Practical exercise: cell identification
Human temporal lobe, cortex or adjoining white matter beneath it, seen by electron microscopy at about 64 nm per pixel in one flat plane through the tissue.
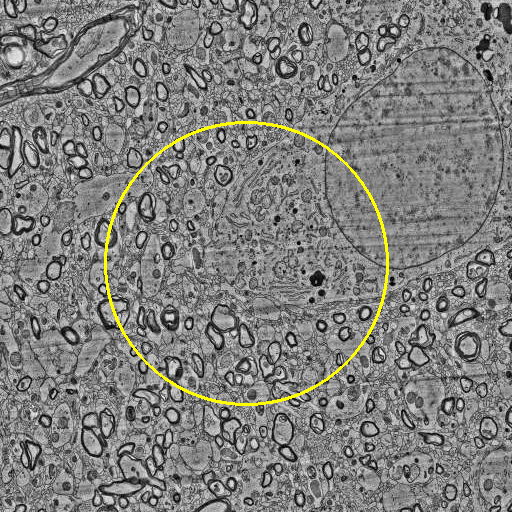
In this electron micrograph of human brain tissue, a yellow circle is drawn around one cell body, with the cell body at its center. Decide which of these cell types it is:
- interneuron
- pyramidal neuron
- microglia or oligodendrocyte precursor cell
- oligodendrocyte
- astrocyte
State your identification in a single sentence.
The ringed cell is an oligodendrocyte.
